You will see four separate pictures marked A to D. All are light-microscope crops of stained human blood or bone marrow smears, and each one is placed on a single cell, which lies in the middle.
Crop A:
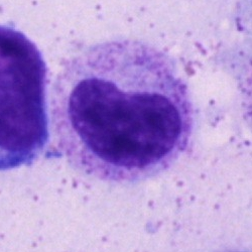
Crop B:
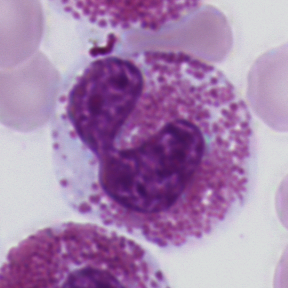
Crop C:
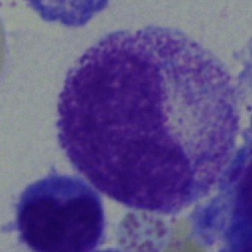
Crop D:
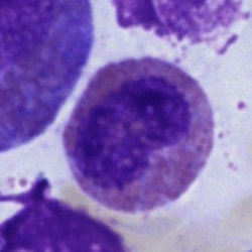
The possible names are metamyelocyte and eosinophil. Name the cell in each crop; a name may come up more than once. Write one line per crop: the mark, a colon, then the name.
A: metamyelocyte
B: eosinophil
C: metamyelocyte
D: eosinophil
